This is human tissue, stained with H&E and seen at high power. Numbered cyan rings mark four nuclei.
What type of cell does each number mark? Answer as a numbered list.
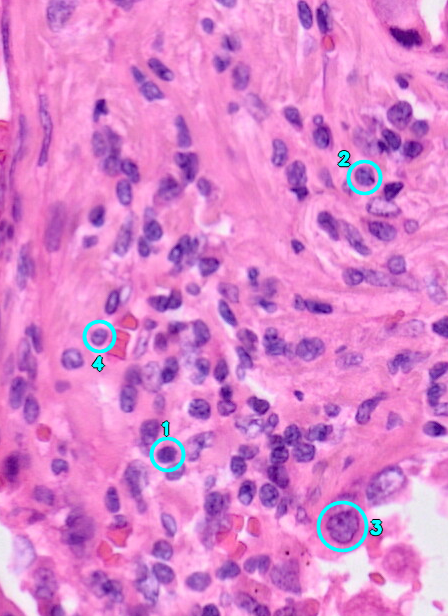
1. lymphocyte
2. lymphocyte
3. carcinoma cell
4. lymphocyte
